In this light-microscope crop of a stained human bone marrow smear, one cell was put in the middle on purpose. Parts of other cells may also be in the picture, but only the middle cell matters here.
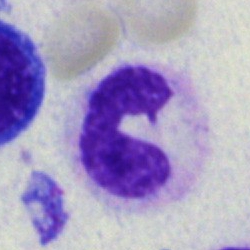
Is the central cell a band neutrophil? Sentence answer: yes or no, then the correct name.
Yes, the cell shown in the middle is a band neutrophil.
